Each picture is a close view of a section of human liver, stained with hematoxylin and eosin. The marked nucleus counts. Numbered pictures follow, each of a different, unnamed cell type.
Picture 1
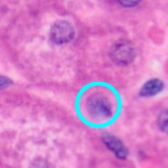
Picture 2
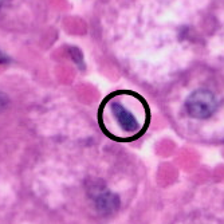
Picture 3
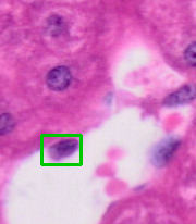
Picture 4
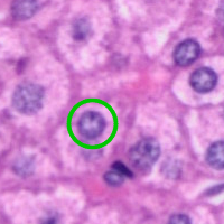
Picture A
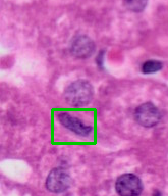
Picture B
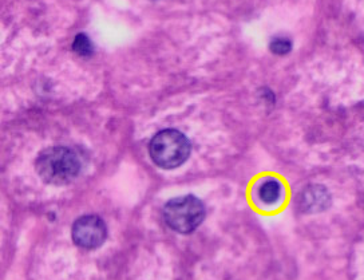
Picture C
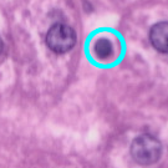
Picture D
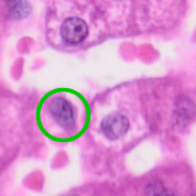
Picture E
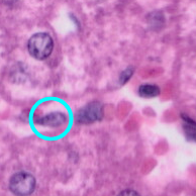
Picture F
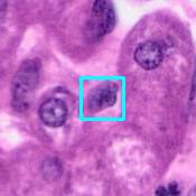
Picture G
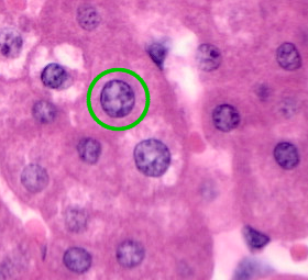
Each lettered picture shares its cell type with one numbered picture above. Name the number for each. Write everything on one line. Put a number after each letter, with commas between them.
A 3, B 2, C 2, D 3, E 3, F 1, G 4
